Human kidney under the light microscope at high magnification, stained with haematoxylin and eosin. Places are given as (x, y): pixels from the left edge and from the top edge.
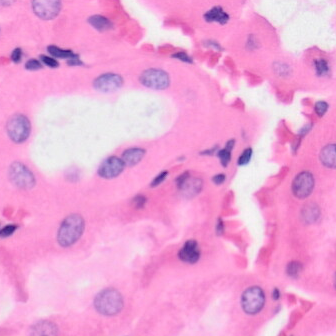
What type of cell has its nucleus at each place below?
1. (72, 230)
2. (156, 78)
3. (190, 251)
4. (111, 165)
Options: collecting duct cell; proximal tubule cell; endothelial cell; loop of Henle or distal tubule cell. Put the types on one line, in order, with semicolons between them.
proximal tubule cell; loop of Henle or distal tubule cell; proximal tubule cell; loop of Henle or distal tubule cell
